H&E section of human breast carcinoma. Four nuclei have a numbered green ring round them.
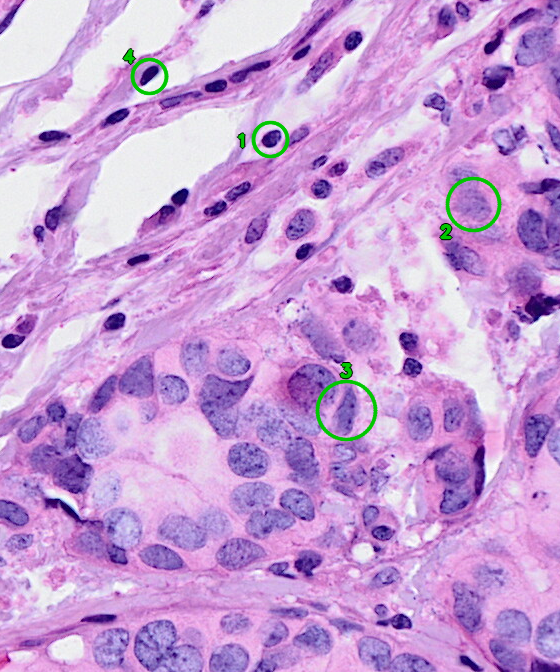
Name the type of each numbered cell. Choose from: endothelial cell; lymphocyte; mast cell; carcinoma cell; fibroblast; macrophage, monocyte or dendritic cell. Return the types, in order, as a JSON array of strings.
["lymphocyte", "carcinoma cell", "carcinoma cell", "lymphocyte"]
